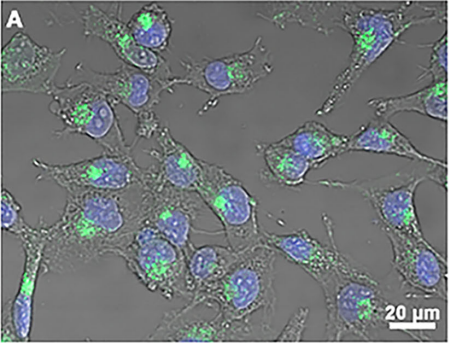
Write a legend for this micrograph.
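The cells are polygonal to spindle-shaped with thin cytoplasmic extensions and touch one another at their margins in places. Each holds a single oval blue nucleus with a few darker spots within it. Bright green granules gather in dense clusters in the cytoplasm close beside the nucleus, often on one side of it. Fainter green dots are scattered further out in the cytoplasm.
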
